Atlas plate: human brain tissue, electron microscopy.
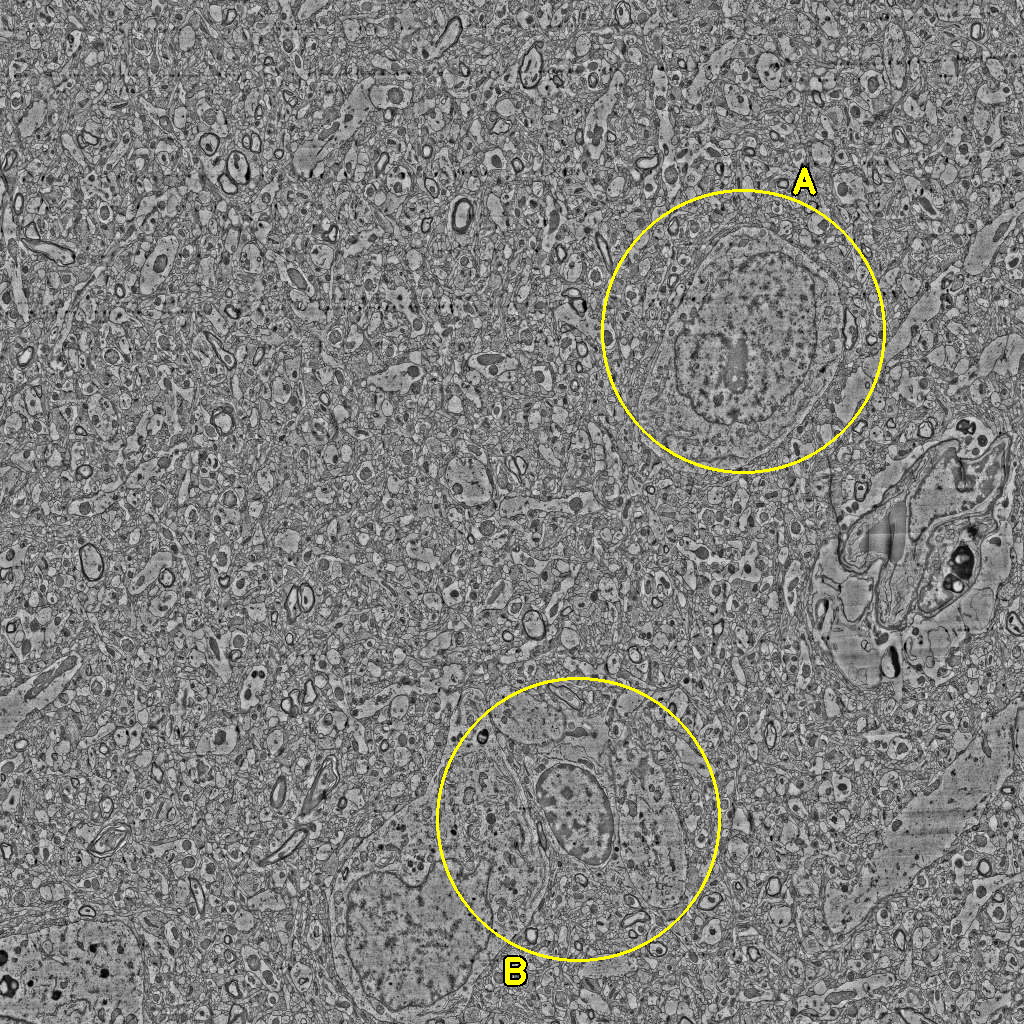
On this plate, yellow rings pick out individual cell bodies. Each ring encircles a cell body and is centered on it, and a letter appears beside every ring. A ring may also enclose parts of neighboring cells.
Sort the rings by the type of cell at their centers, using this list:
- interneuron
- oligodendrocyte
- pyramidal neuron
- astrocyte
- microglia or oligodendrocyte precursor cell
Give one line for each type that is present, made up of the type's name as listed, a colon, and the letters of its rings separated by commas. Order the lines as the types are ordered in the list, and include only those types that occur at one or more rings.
interneuron: A
microglia or oligodendrocyte precursor cell: B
